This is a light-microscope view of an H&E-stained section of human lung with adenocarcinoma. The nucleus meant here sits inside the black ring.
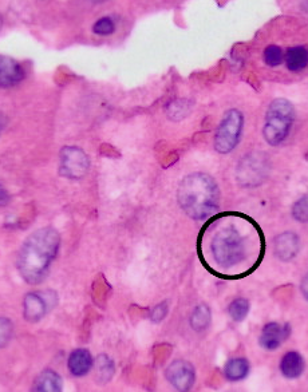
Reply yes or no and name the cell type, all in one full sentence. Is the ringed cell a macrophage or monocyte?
Yes, the ringed cell is a macrophage or monocyte; nothing to add.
